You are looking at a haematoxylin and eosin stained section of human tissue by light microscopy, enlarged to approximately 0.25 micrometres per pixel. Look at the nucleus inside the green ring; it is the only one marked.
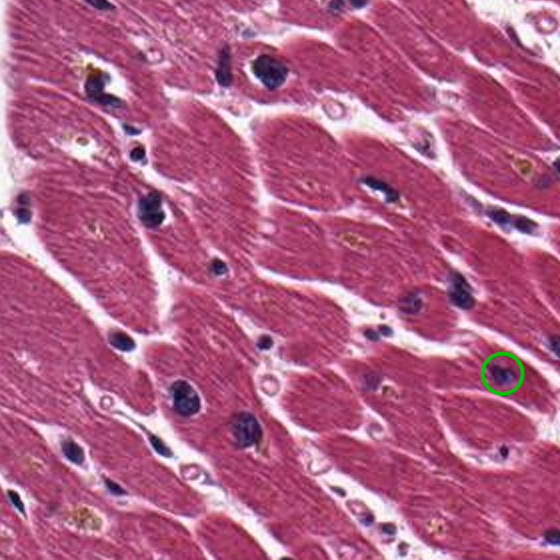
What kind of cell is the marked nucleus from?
cardiomyocyte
